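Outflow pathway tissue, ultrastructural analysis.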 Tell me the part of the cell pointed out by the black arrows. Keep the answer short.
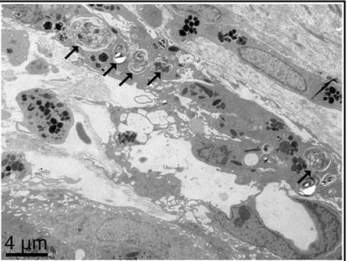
Autophagic vacuoles.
